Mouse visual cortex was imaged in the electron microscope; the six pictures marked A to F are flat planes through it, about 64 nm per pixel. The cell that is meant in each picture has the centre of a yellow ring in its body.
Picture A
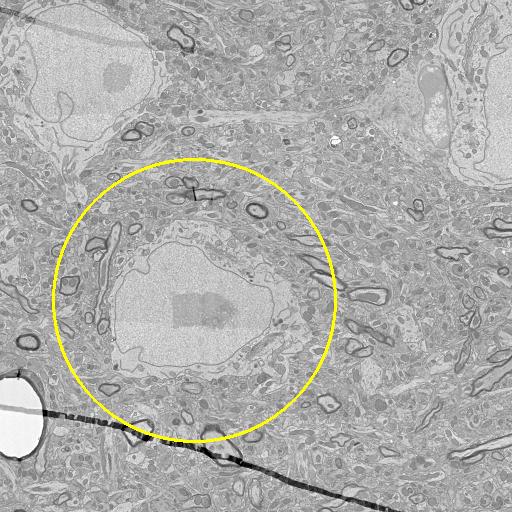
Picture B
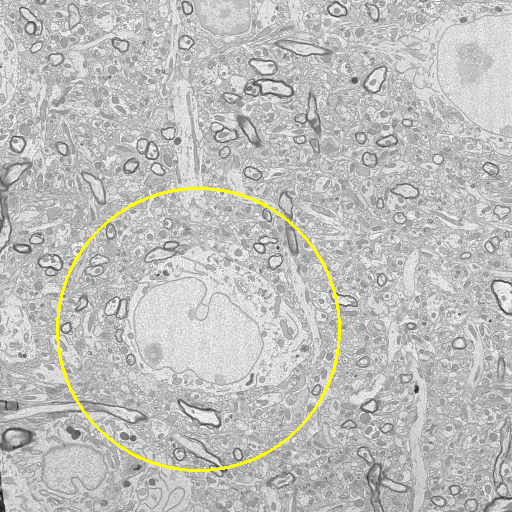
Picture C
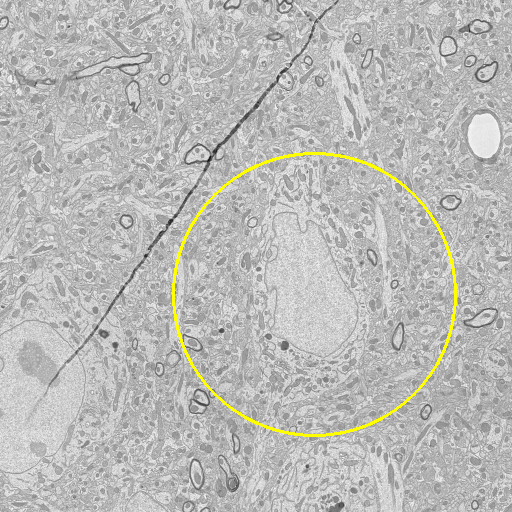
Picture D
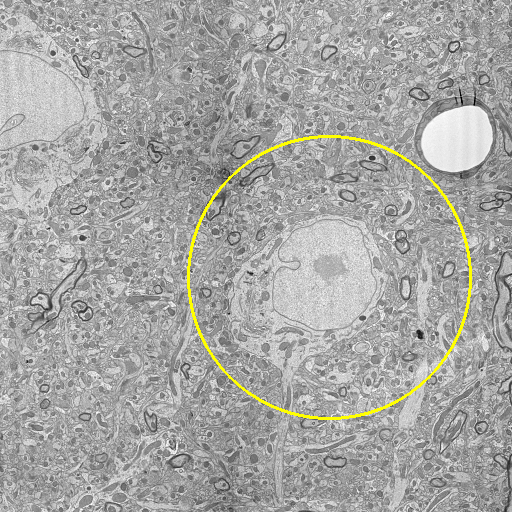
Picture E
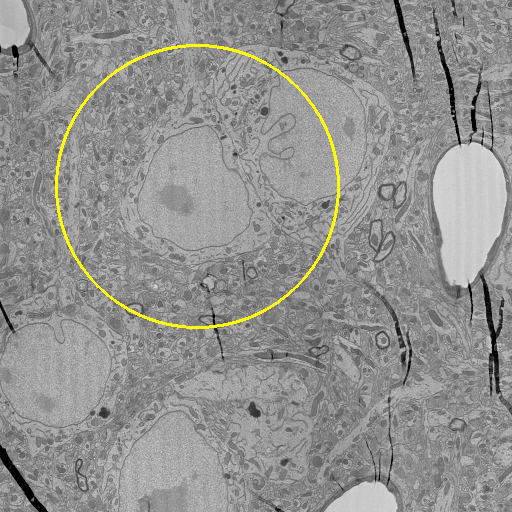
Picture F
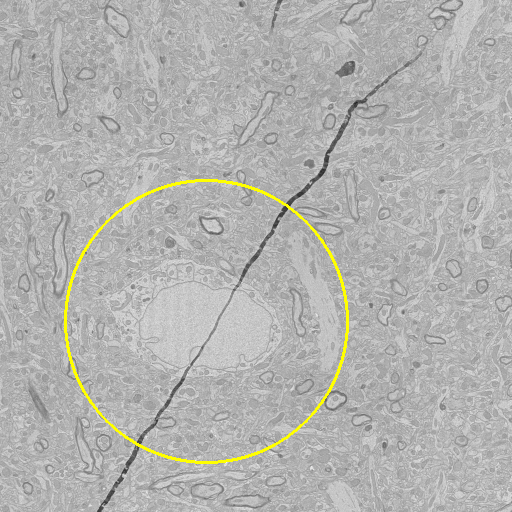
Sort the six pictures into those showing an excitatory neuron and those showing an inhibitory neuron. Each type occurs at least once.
Pictures A, B, D and E show excitatory neurons; pictures C and F show inhibitory neurons.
